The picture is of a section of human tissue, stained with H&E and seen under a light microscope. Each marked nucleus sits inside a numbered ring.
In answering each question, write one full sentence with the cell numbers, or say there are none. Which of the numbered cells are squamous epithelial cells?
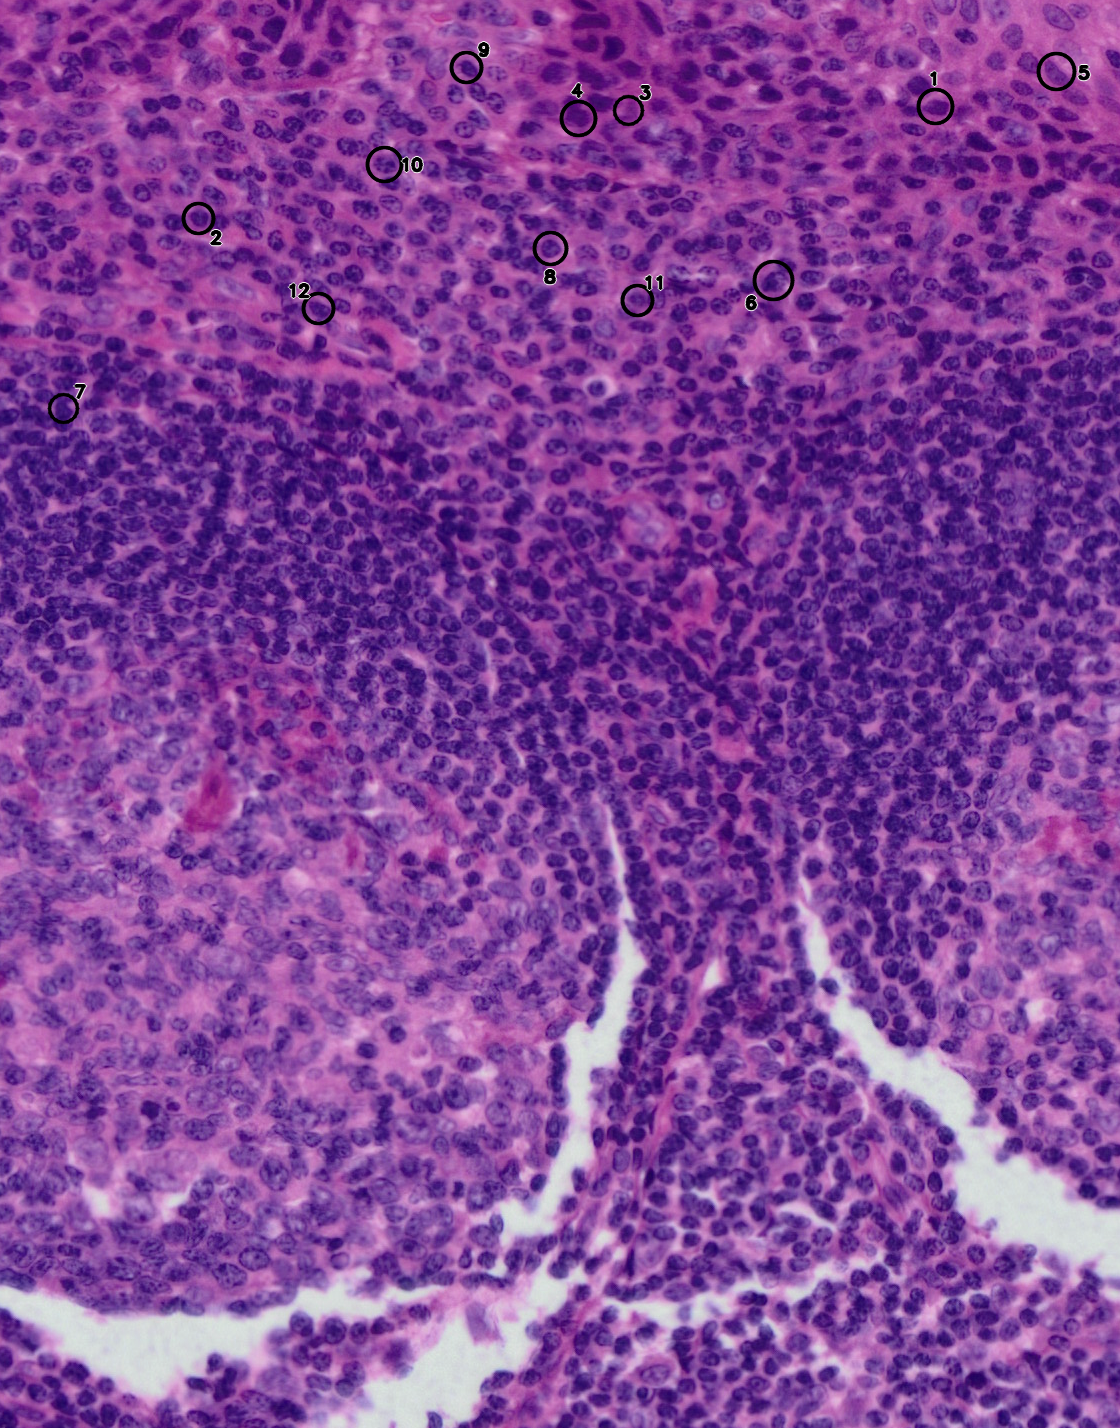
Cells 1, 3, 4 and 5 are recognised here as squamous epithelial cells.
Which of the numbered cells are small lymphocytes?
Just the cell marked 7 is a small lymphocyte; none of the other marked cells is.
